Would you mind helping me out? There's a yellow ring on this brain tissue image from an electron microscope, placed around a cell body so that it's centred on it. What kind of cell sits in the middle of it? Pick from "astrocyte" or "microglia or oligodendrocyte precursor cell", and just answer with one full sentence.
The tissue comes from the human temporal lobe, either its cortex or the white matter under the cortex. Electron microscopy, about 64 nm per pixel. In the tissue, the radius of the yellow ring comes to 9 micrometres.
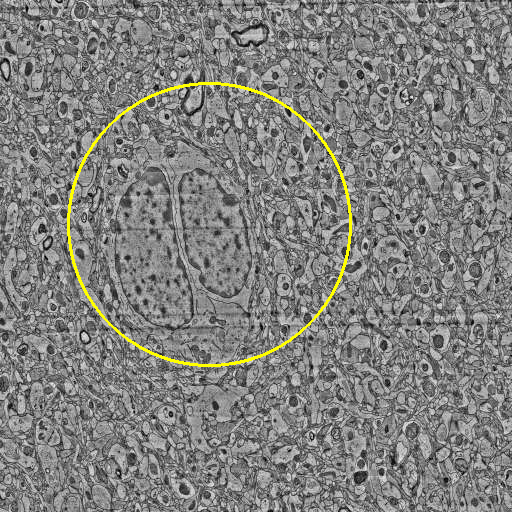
What sits in the middle of that yellow ring is a microglial cell or oligodendrocyte precursor cell, from your choices.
